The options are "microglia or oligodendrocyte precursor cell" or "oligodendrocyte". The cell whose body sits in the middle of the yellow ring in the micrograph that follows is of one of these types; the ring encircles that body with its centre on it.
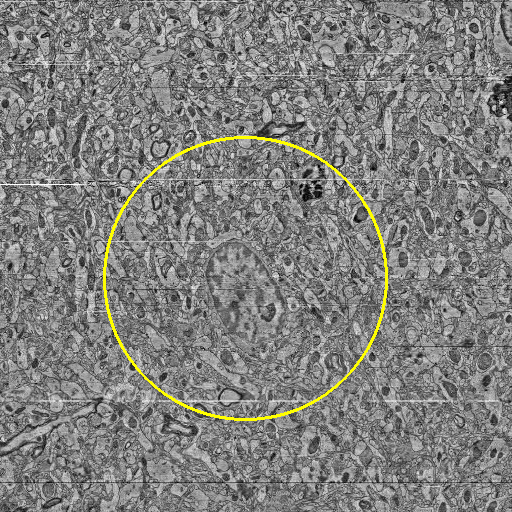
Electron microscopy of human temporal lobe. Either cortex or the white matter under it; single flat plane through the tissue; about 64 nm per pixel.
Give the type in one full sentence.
Going by the micrograph, the cell centred in the yellow ring is an oligodendrocyte.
